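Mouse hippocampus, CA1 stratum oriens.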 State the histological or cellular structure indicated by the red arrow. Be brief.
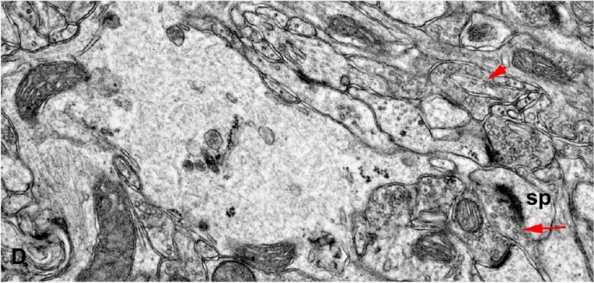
A terminal filled with presynaptic vesicles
